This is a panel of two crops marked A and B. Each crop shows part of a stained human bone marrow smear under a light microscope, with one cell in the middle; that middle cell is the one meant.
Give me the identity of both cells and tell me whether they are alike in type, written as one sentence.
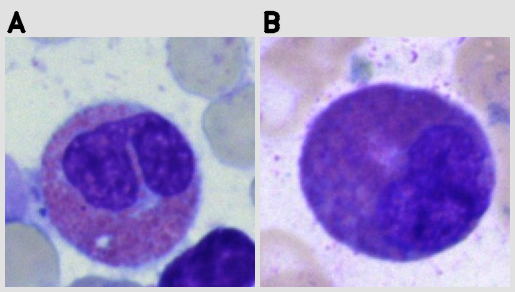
Yes, the cells under consideration in both crops are eosinophils.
